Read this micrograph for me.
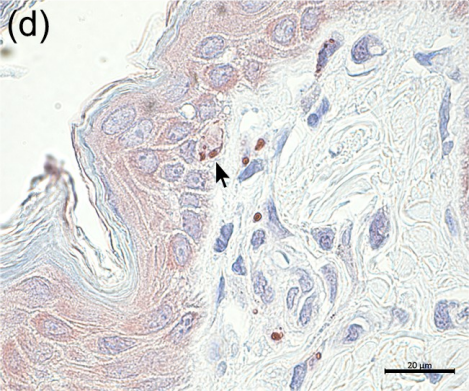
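Skin at the junction of epidermis and a dermal papilla. On the left, stratified epidermal keratinocytes with round to oval blue nuclei and pinkish-tan cytoplasm form several layers, the flatter cells toward the surface. On the right, the dermal papilla consists of loose, pale fibrous connective tissue with scattered elongated and oval blue nuclei. Several small, round, dark brown-stained cells lie in this connective tissue, and one brown-stained cell with granular stain sits at the base of the epidermis where it meets the dermis.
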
